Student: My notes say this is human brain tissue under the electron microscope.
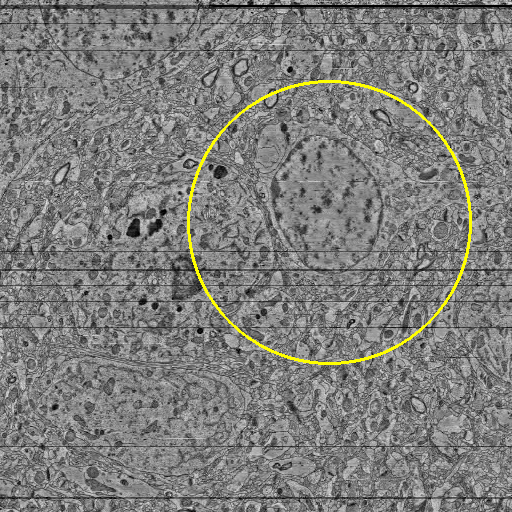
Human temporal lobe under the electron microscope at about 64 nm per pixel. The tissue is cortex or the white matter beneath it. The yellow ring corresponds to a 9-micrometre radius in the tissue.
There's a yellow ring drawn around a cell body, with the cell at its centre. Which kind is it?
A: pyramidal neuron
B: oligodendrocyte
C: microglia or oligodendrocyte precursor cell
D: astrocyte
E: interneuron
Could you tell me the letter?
E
